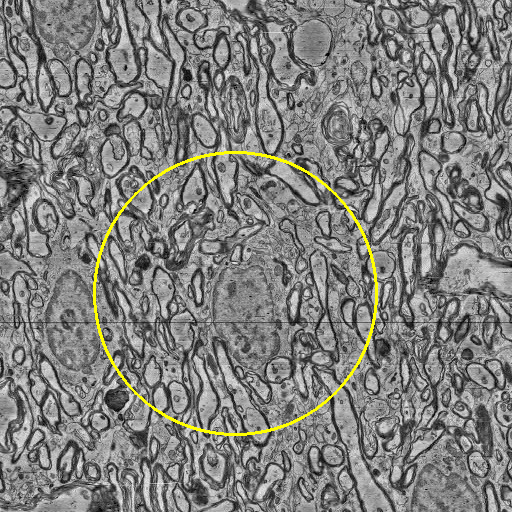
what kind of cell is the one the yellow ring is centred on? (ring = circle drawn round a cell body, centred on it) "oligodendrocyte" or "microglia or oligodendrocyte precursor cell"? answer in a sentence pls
The ring is drawn around an oligodendrocyte.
